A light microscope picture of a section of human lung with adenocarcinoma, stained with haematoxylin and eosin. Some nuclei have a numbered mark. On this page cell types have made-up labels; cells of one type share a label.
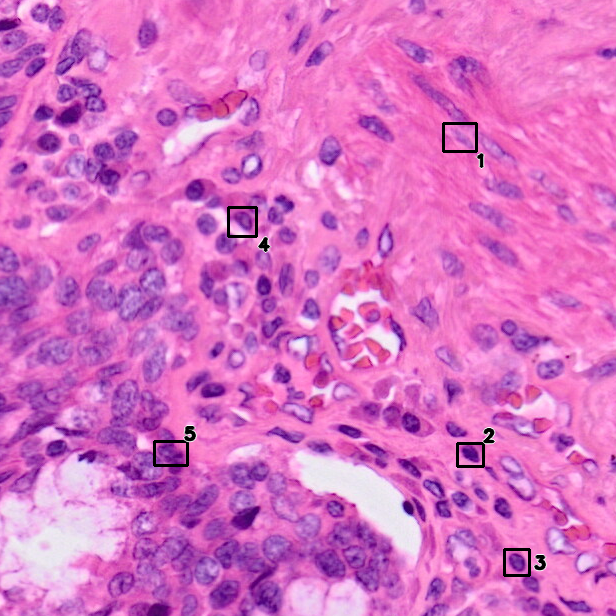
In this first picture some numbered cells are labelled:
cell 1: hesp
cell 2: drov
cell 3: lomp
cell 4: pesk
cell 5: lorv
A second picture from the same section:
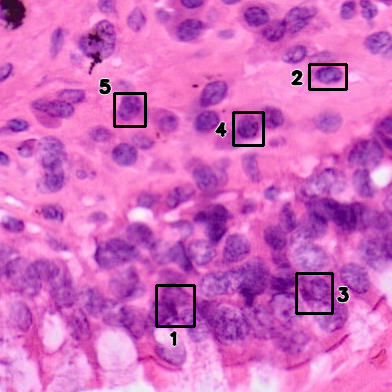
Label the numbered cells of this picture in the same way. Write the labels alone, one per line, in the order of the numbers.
lorv
lomp
lorv
pesk
pesk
